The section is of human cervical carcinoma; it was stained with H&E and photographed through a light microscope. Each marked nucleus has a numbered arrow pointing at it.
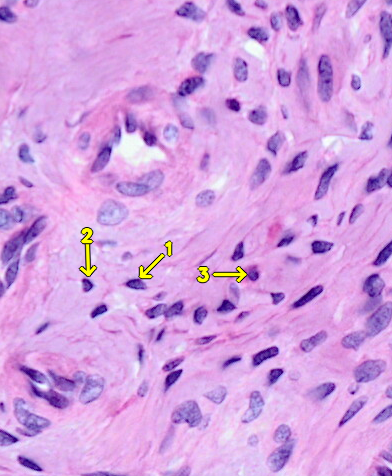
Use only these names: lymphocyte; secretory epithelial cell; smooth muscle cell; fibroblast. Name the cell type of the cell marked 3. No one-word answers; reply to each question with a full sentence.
The cell indicated with the number 3 is classed as a smooth muscle cell.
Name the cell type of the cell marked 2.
The marked nucleus 2 is that of a fibroblast.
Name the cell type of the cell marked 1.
Heads up, the cell numbered 1 is a fibroblast.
